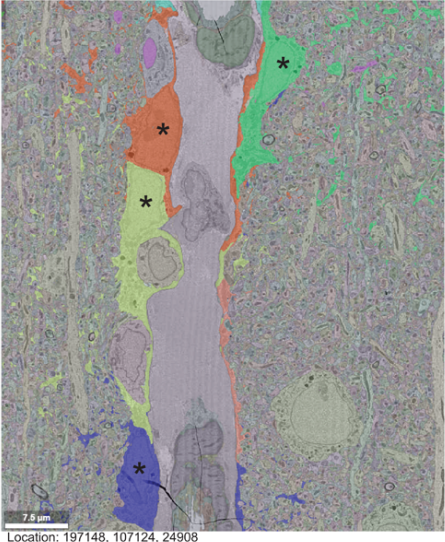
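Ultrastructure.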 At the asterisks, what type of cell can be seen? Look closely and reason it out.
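Astrocyte somas. Cell bodies marked by asterisks lie directly against the wall of the large vertical vessel. Each marked cell is flattened along the vessel and sends thin sheets along its wall.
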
